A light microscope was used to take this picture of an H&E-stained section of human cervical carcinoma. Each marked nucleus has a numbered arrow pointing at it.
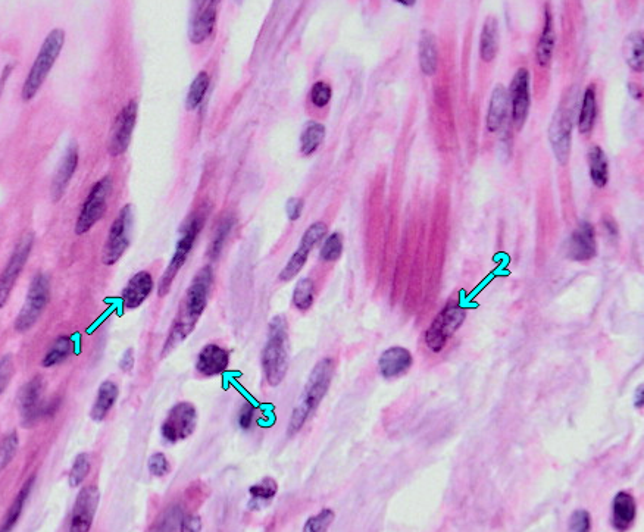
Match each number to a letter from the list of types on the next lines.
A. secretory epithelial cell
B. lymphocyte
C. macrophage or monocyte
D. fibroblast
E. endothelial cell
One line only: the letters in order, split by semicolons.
B; C; B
